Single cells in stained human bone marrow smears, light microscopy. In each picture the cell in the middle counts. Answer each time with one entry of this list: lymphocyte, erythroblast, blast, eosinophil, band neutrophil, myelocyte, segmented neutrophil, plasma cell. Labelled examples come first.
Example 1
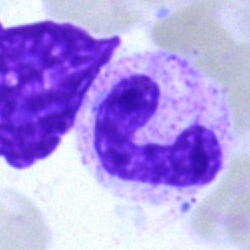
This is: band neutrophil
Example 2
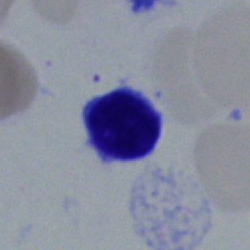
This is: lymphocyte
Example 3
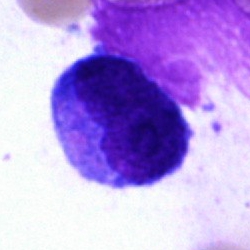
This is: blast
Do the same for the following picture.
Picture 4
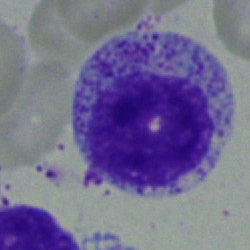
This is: myelocyte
